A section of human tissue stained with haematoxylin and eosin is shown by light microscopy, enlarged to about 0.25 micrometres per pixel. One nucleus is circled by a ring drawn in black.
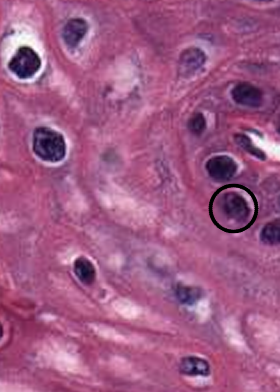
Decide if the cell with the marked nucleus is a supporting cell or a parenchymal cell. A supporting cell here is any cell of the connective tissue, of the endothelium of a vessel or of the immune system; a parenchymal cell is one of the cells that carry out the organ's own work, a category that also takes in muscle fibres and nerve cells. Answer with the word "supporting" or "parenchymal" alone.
parenchymal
